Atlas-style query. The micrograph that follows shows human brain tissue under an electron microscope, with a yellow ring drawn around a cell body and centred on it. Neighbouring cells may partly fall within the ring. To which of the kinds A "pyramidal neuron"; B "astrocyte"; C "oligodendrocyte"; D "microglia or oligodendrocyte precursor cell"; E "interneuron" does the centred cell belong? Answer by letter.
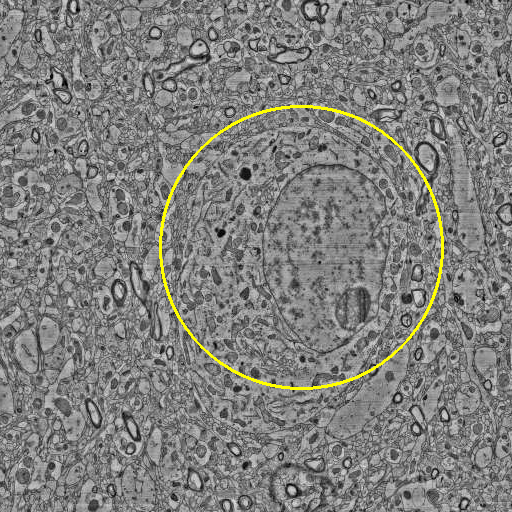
E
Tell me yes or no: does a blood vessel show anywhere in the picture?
No, none shows.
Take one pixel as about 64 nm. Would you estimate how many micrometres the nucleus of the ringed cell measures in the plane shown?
In this plane, approximately 12 by 8 micrometers.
